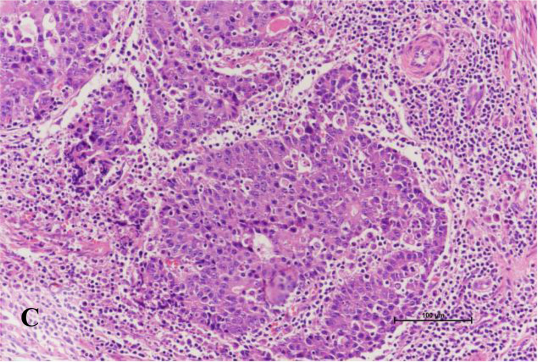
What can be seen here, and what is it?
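This is a high-grade carcinoma growing as solid nests of tumour cells set in a stroma crowded with lymphocytes. The tumour cells are large, with pink cytoplasm and enlarged, irregular nuclei that vary in size and shape. They form sheets rather than clear glands, with a few small spaces within the nests. Around and between the nests, the stroma is filled with small round lymphocytes whose dark nuclei have little cytoplasm. A small blood vessel with a thick pink wall lies in the stroma at the upper right.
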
